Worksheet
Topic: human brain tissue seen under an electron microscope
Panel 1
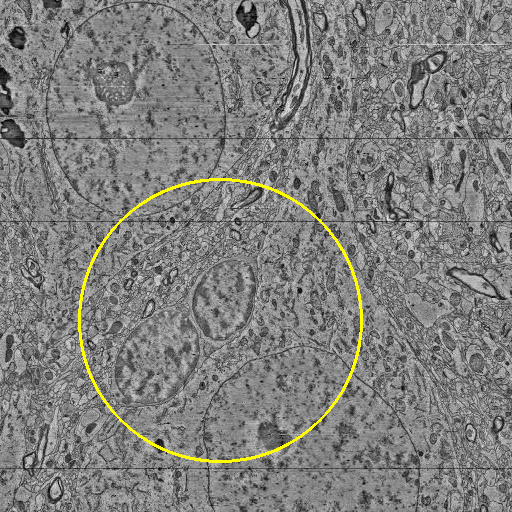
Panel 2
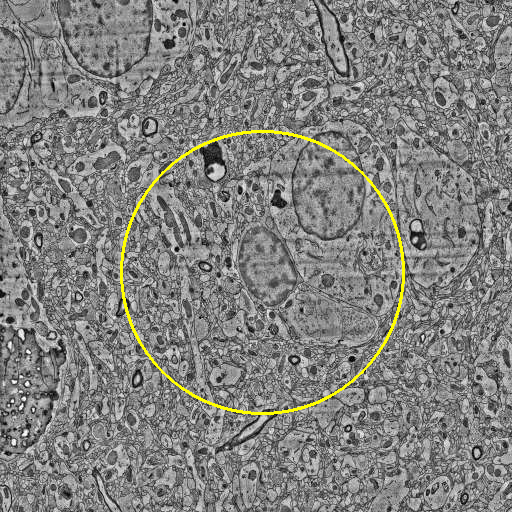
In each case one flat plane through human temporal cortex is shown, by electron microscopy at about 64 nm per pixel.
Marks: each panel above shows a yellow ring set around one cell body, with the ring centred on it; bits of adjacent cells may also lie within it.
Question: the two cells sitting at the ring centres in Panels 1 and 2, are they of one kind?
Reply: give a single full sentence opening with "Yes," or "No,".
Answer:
Yes, the two ring-centre cells in Panel 1 and Panel 2 are of one kind.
